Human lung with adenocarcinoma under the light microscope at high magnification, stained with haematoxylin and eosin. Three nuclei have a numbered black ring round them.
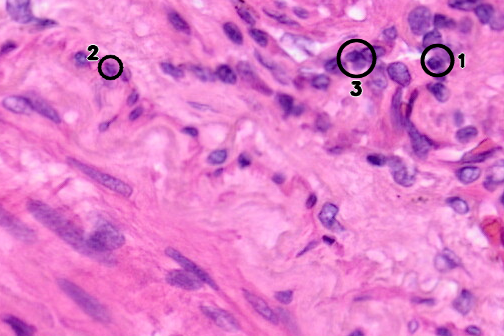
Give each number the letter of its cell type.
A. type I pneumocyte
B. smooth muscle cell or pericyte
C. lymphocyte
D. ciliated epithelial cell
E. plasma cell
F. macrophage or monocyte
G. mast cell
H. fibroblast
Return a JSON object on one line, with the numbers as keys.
{"1": "C", "2": "B", "3": "C"}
